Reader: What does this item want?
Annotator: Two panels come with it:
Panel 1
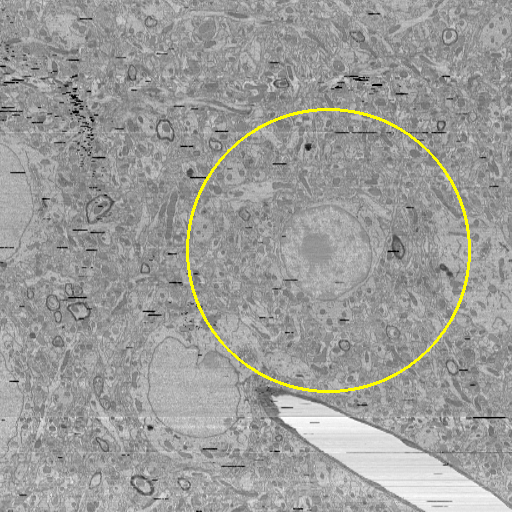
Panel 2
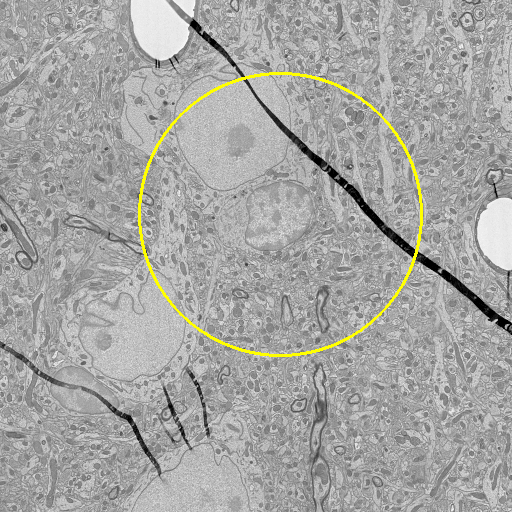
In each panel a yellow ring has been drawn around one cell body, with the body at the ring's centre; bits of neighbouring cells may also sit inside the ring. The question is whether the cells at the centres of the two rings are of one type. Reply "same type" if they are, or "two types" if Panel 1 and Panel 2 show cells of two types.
same type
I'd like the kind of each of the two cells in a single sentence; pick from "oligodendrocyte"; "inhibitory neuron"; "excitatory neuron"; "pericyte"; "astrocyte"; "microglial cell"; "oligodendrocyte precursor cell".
In each of the two pictures, the ringed cell is an oligodendrocyte.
